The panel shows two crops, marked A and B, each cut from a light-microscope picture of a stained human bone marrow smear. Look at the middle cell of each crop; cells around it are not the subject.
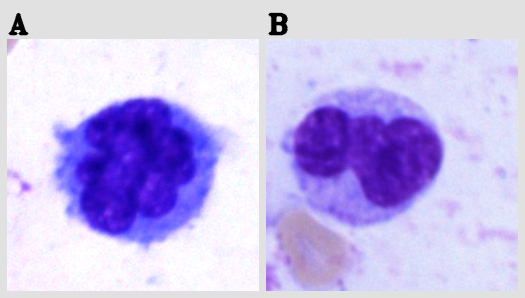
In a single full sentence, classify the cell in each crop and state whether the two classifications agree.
Yes, the crops both have monocytes in the middle.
